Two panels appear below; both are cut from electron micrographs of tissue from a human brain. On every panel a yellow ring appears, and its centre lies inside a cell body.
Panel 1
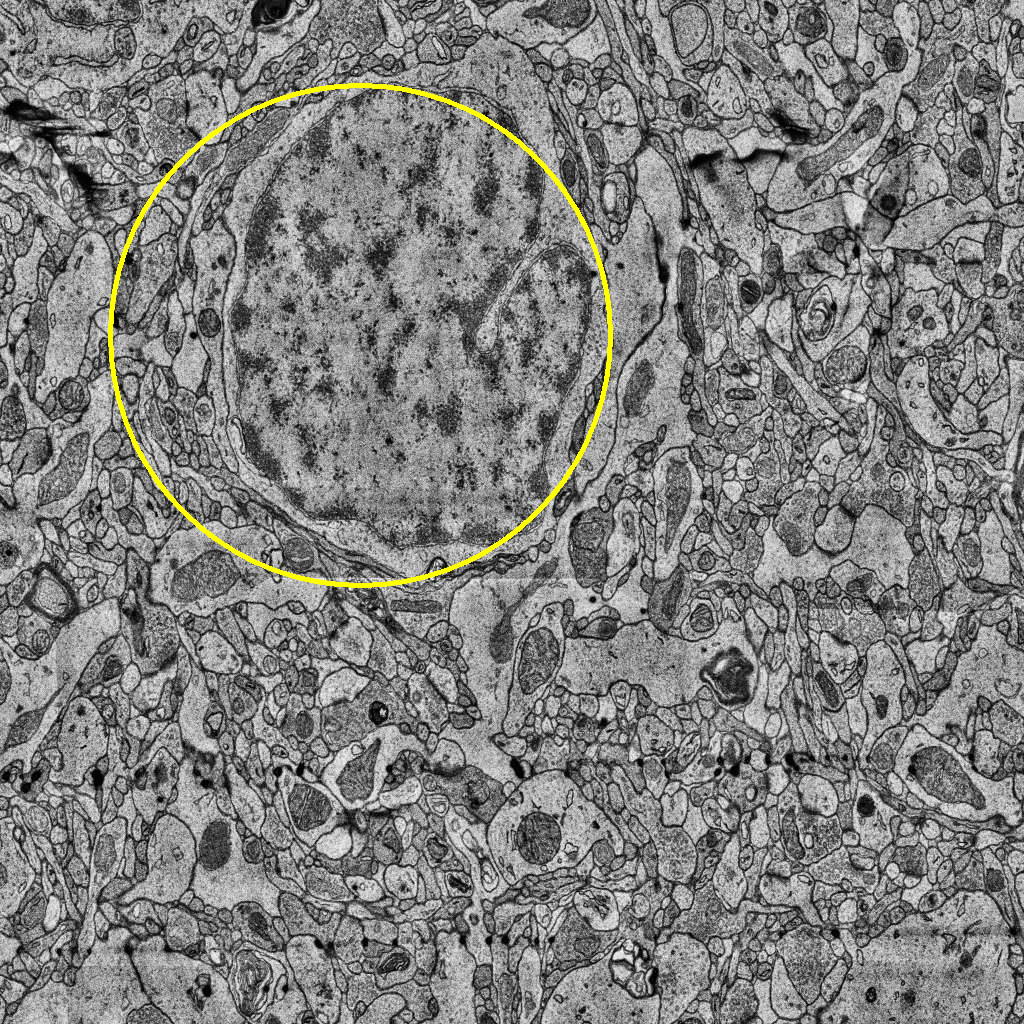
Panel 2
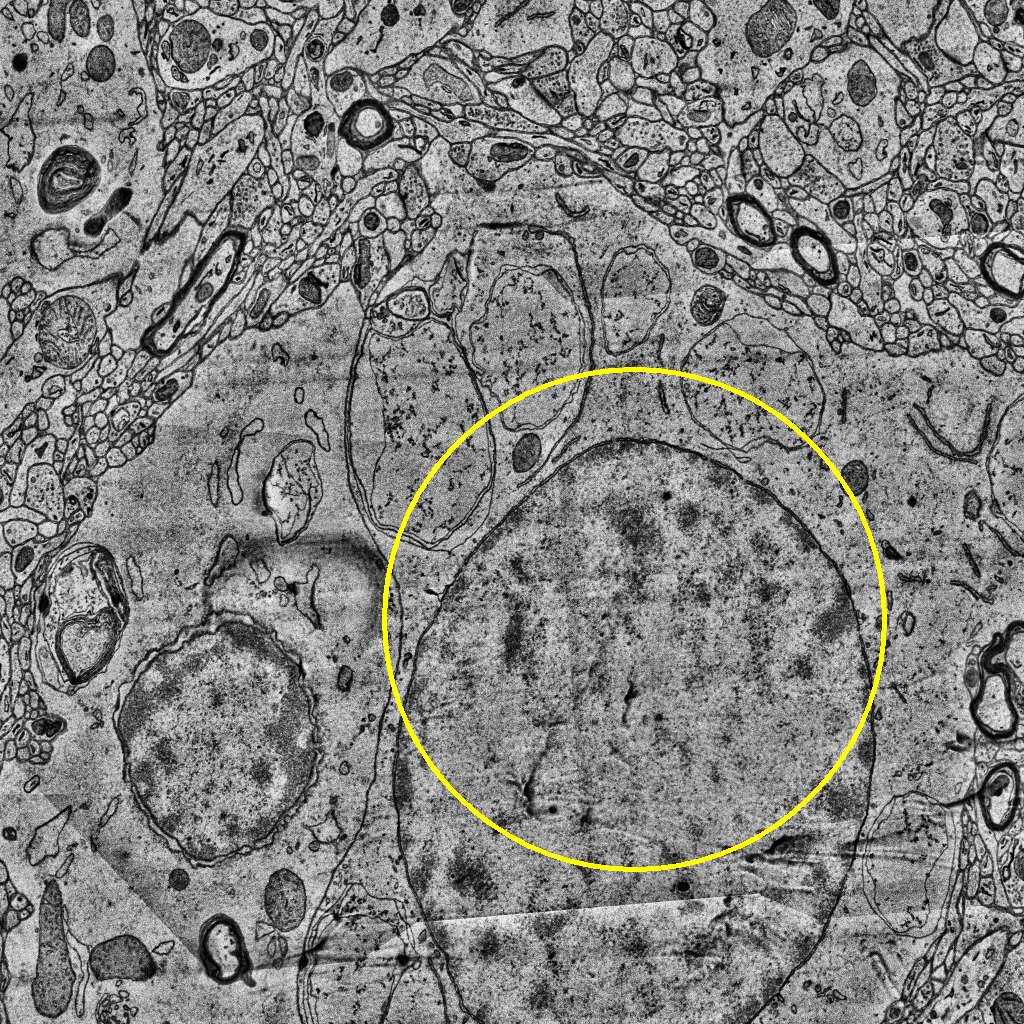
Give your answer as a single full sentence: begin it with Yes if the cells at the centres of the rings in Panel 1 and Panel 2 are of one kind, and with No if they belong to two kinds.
No, the cells at the middle of the rings in Panels 1 and 2 are of two kinds.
